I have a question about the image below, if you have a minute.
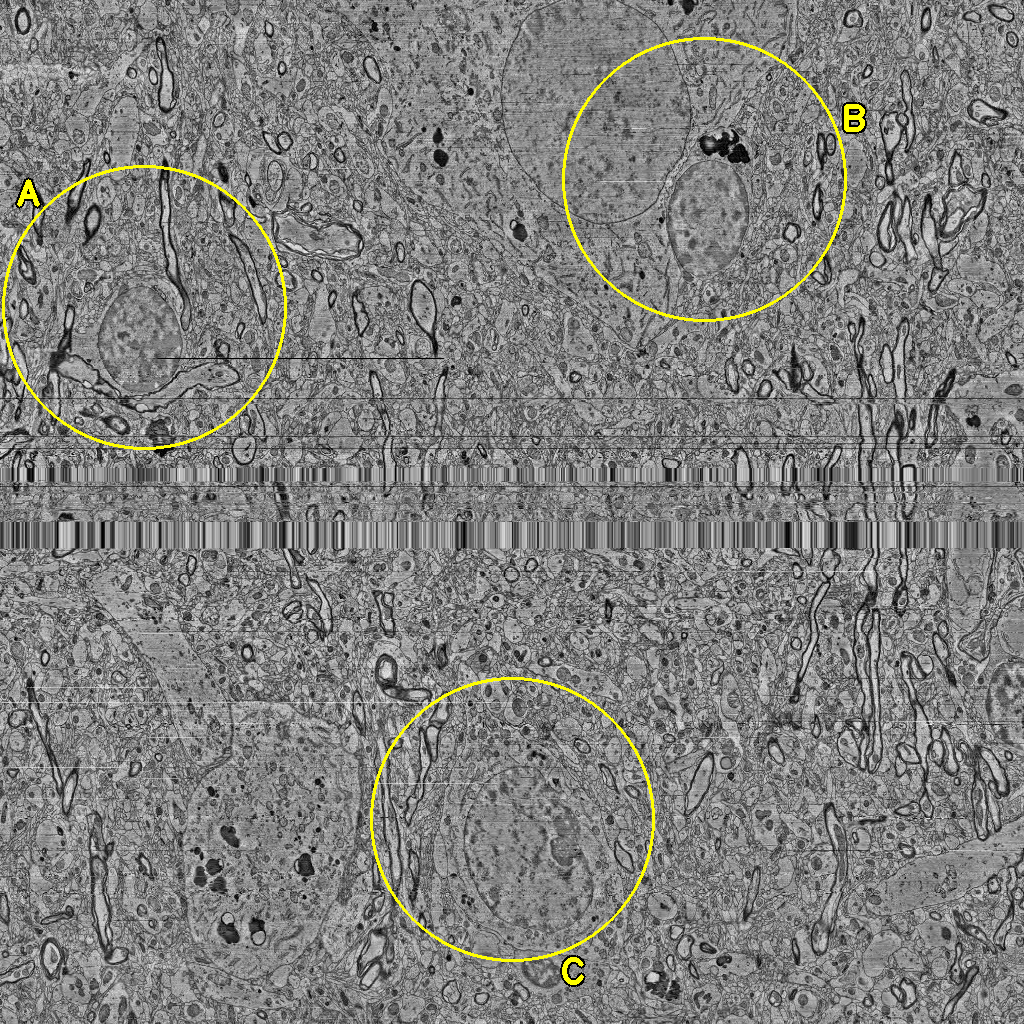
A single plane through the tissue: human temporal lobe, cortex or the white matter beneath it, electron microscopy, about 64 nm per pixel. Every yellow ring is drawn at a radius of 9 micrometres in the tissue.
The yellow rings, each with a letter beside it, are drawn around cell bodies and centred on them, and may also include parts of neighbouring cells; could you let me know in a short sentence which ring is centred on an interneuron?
Ring C is centred on it.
